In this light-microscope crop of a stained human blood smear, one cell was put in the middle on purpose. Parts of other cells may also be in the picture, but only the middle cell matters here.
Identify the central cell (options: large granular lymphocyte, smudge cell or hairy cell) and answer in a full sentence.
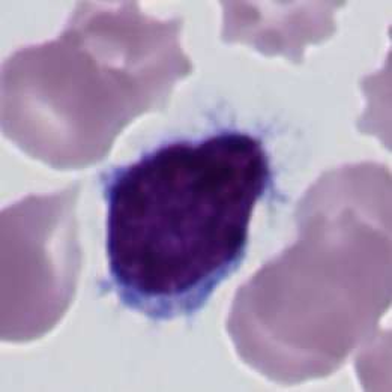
The cell around which this crop is centred is a hairy cell.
